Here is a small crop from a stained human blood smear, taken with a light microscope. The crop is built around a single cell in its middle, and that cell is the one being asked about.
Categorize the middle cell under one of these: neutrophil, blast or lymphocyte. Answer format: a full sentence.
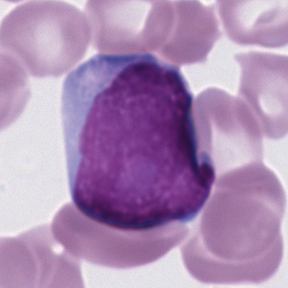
The cell sitting right in the middle is a blast.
